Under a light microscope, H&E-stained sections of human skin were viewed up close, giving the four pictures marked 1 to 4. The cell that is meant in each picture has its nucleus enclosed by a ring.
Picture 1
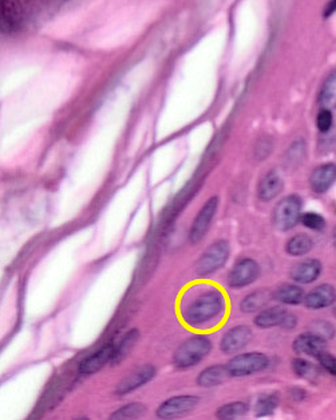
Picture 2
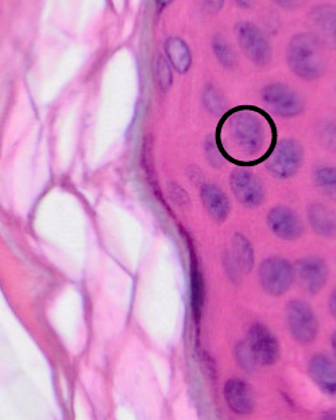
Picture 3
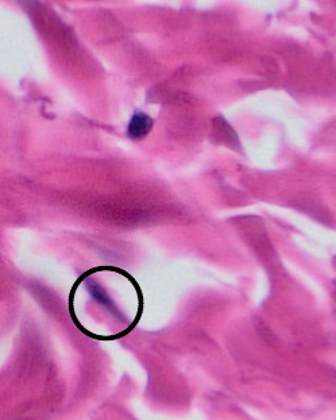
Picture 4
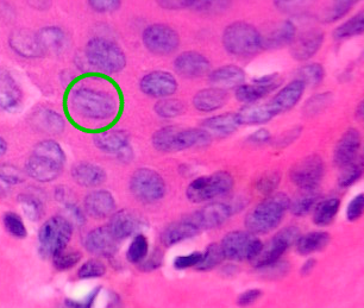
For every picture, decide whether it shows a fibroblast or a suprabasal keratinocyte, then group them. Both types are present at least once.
1: suprabasal keratinocyte
2: suprabasal keratinocyte
3: fibroblast
4: suprabasal keratinocyte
